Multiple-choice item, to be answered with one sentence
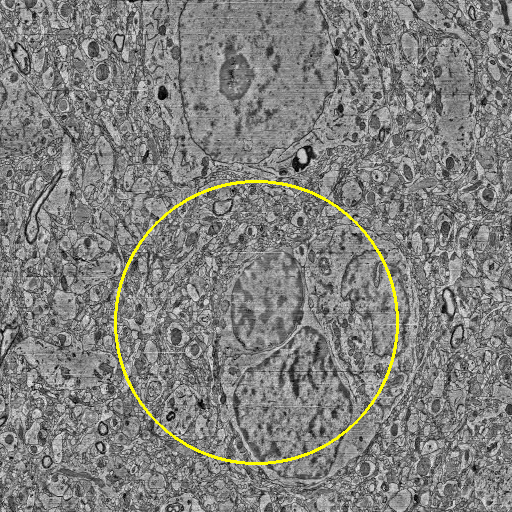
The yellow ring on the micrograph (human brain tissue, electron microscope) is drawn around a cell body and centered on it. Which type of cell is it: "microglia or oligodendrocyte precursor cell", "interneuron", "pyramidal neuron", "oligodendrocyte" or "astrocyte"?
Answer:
The ring is centered on an oligodendrocyte.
